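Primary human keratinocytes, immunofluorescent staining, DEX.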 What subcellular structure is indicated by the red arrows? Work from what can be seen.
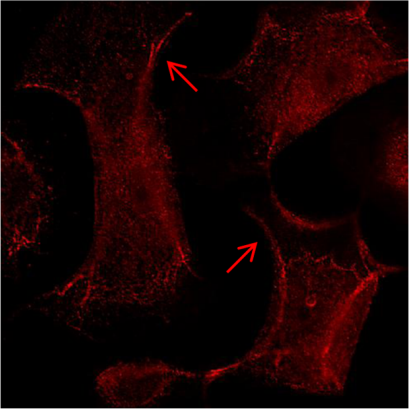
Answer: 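The arrows point to thin red lines at the cell margins. The red line follows the cell outline facing the empty space. The answer: plasma membrane.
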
